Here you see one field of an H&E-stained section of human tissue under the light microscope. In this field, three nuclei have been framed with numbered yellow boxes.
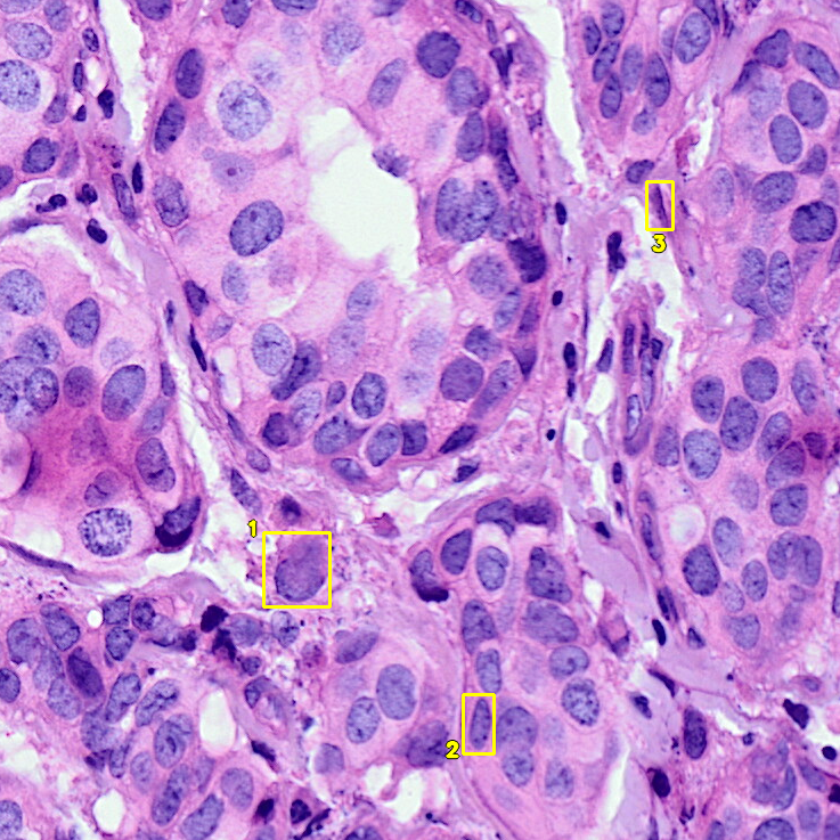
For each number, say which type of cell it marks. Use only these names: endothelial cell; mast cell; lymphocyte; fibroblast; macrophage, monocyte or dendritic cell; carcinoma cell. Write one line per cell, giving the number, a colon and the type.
1: carcinoma cell
2: carcinoma cell
3: fibroblast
